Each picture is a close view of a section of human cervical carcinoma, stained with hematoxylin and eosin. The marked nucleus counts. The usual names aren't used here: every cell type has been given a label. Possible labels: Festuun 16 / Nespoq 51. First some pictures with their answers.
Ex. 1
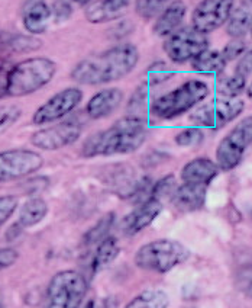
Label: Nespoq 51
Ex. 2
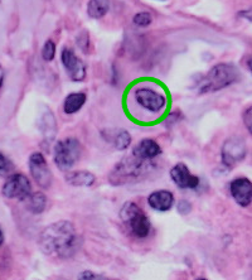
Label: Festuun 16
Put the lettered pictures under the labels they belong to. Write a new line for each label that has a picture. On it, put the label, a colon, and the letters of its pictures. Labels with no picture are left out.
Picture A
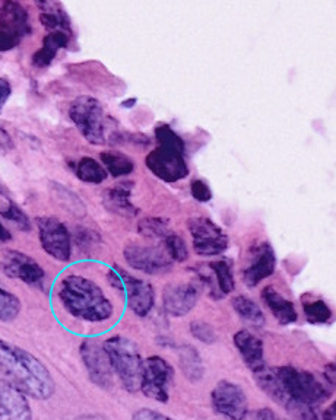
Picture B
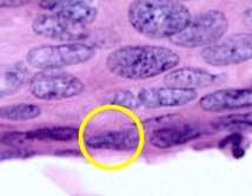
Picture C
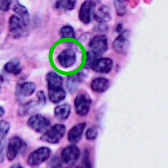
Festuun 16: C
Nespoq 51: A, B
